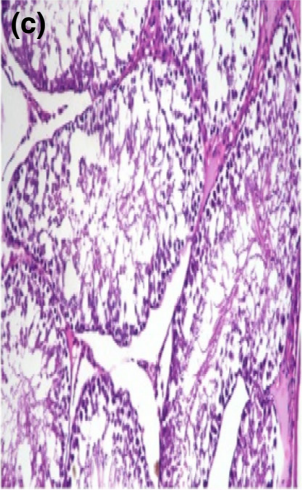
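These are seminiferous tubules of the testis whose germinal epithelium has degenerated. Only a thin rim of purple nuclei lines each tubule wall, and the inner epithelium is loose and riddled with clear vacuoles instead of forming dense layers. Pink strands of interstitial tissue lie between the tubules.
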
